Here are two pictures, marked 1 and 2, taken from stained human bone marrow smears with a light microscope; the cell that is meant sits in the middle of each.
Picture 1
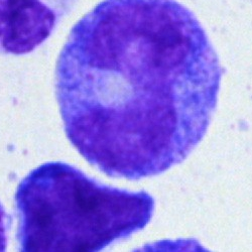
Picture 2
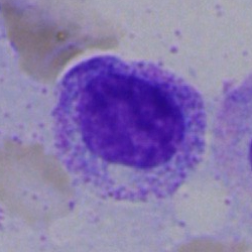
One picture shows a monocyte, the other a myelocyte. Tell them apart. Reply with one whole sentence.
Picture 1 shows a monocyte and picture 2 shows a myelocyte.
